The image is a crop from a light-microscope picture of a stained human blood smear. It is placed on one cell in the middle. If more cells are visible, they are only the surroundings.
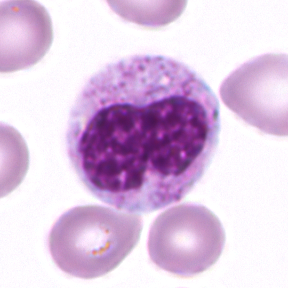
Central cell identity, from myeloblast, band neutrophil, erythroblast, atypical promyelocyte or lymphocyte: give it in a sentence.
The centrally placed cell is classified as a band neutrophil.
